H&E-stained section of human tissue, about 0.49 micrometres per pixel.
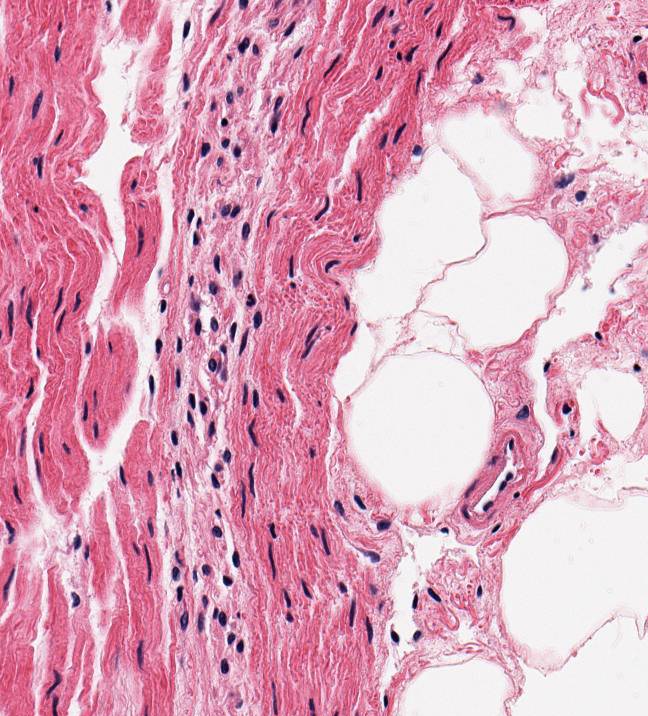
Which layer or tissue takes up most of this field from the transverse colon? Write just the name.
smooth muscle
